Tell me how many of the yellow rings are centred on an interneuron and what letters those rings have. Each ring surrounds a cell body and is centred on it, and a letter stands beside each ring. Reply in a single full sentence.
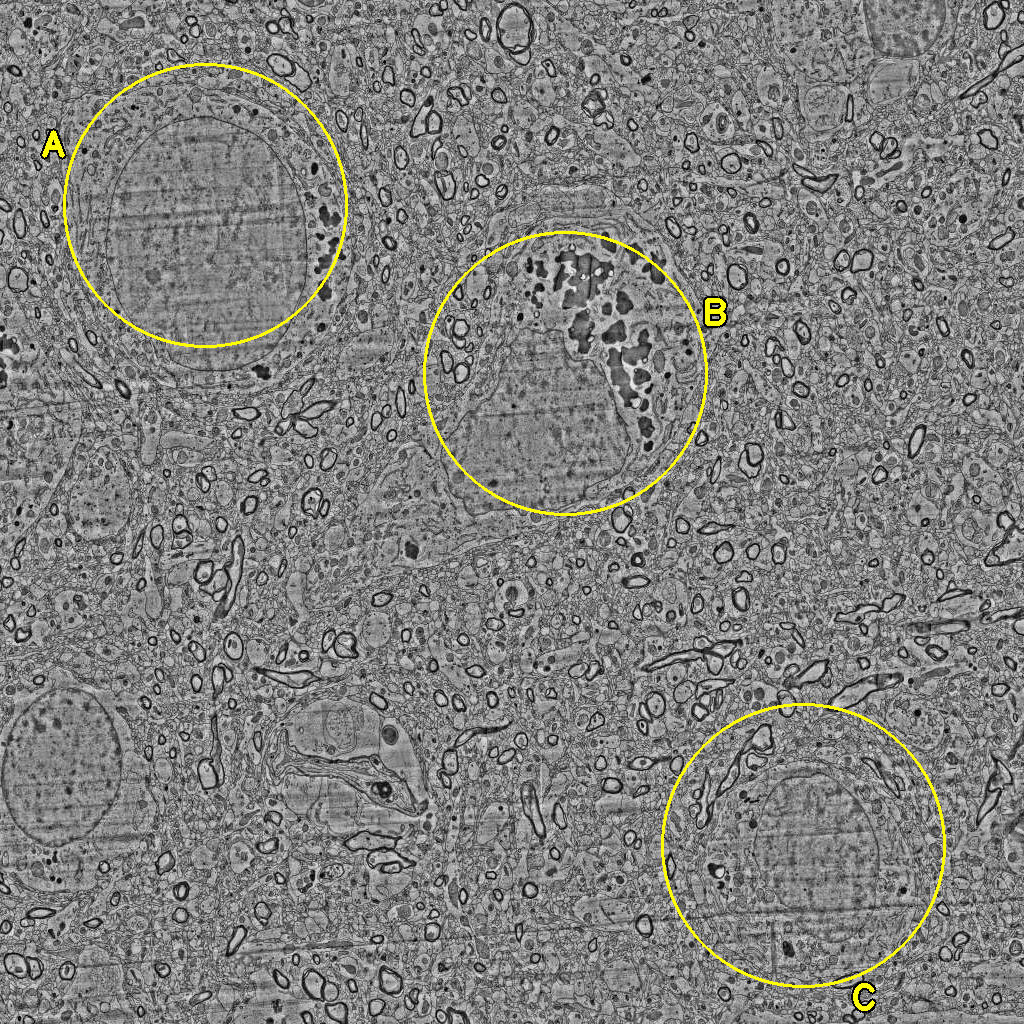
Each of two rings is centred on an interneuron, these being the rings with the letters B and C.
